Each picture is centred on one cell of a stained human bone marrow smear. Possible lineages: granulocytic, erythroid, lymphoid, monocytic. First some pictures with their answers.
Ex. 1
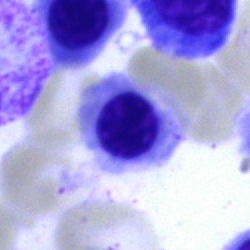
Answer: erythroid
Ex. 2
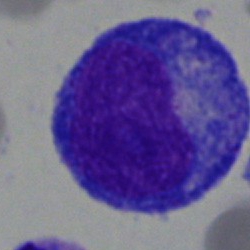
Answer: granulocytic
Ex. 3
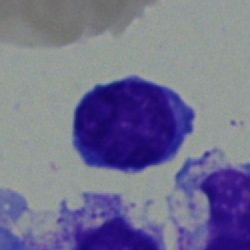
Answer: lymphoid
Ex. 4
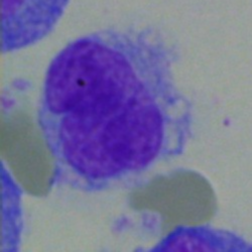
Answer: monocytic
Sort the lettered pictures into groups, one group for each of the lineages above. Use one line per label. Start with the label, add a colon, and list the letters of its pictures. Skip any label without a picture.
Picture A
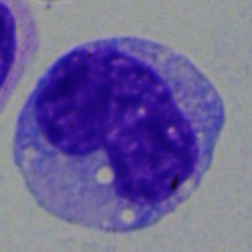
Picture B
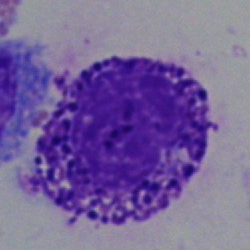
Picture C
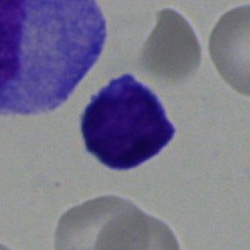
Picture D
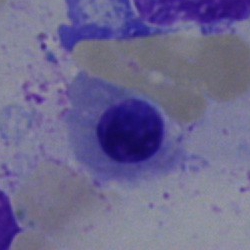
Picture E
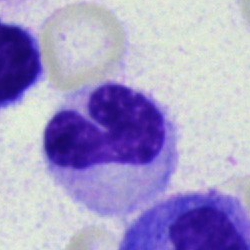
granulocytic: B, E
erythroid: D
lymphoid: C
monocytic: A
